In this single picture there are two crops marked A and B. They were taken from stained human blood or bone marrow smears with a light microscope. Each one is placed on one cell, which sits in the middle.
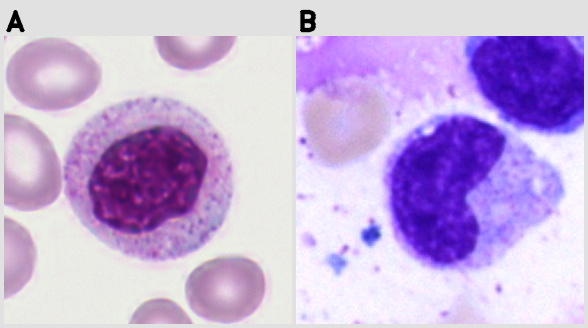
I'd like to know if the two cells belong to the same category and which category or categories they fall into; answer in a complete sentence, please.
Yes, both the first crop and the second crop show metamyelocytes.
